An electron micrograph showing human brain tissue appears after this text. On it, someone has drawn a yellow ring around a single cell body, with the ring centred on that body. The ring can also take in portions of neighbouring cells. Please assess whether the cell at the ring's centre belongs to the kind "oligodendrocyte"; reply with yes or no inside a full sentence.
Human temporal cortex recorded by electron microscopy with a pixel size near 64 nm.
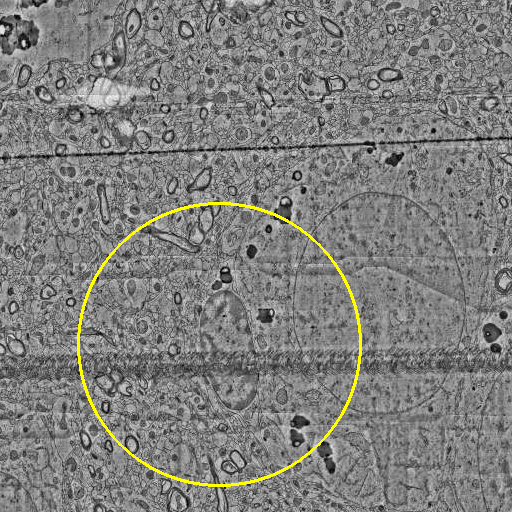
No, in this micrograph the cell at the centre of the ring is of another kind.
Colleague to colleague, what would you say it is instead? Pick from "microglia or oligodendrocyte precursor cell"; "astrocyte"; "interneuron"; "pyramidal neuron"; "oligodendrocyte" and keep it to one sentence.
The ringed cell in this picture is, instead, a microglial cell or oligodendrocyte precursor cell.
